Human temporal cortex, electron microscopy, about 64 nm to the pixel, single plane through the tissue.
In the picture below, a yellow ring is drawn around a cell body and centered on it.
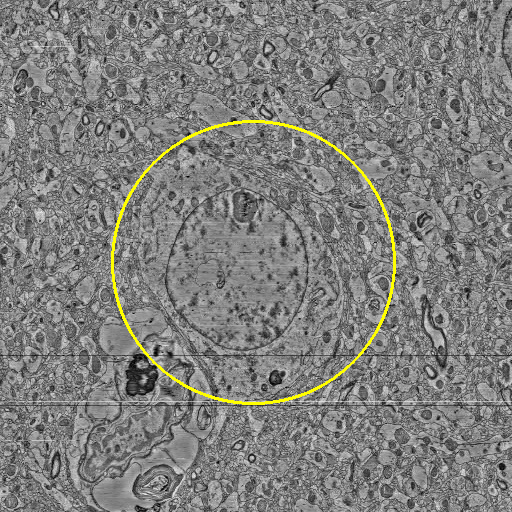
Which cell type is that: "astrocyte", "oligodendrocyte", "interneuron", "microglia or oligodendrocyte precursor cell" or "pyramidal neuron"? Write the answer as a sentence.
The cell centered in the ring is a pyramidal neuron.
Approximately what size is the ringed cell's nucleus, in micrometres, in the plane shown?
Approximately 10 micrometres across, in this plane.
